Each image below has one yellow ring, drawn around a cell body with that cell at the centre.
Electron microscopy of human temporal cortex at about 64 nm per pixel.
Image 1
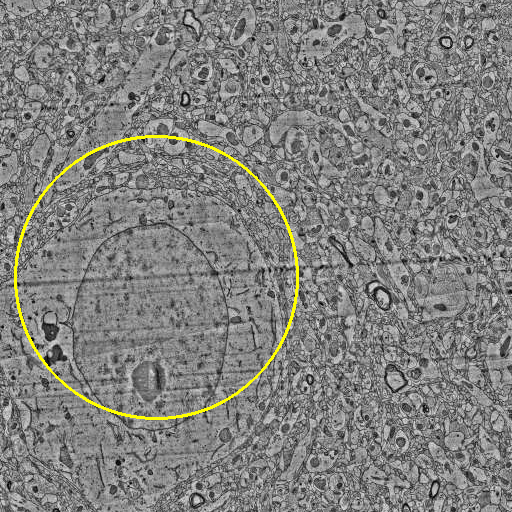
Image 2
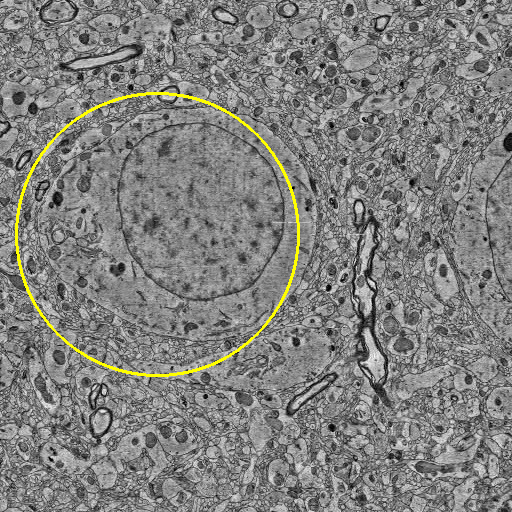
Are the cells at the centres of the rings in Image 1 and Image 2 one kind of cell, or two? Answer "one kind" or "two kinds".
one kind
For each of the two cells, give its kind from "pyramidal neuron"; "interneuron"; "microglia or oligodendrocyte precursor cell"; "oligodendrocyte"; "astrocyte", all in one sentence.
Each of the two pictures has a pyramidal neuron at the ring centre.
